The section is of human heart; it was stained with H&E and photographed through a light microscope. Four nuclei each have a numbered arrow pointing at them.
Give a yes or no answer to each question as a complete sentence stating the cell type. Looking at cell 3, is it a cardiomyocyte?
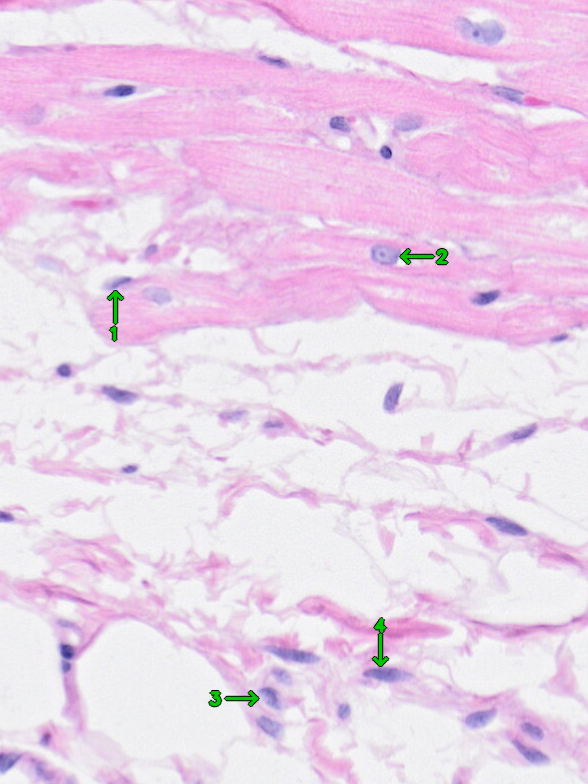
No, the cell labelled 3 is a fibroblast and not a cardiomyocyte.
